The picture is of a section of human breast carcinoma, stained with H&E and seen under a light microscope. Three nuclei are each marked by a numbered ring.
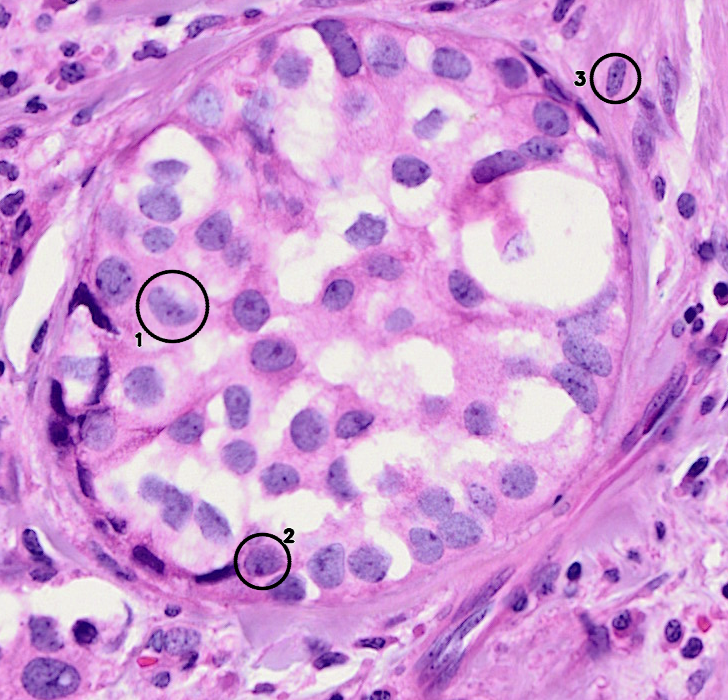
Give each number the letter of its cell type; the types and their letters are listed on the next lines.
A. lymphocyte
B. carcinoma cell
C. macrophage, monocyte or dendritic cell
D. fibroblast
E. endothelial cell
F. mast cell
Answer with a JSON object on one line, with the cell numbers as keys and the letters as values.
{"1": "B", "2": "B", "3": "F"}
